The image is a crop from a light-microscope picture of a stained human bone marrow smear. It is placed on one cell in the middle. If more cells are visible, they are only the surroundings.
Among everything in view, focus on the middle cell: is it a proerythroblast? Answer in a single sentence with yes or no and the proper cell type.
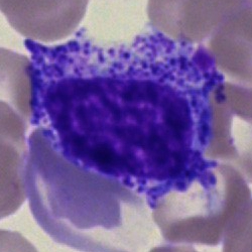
No, rather than being a proerythroblast, the central cell is a promyelocyte.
